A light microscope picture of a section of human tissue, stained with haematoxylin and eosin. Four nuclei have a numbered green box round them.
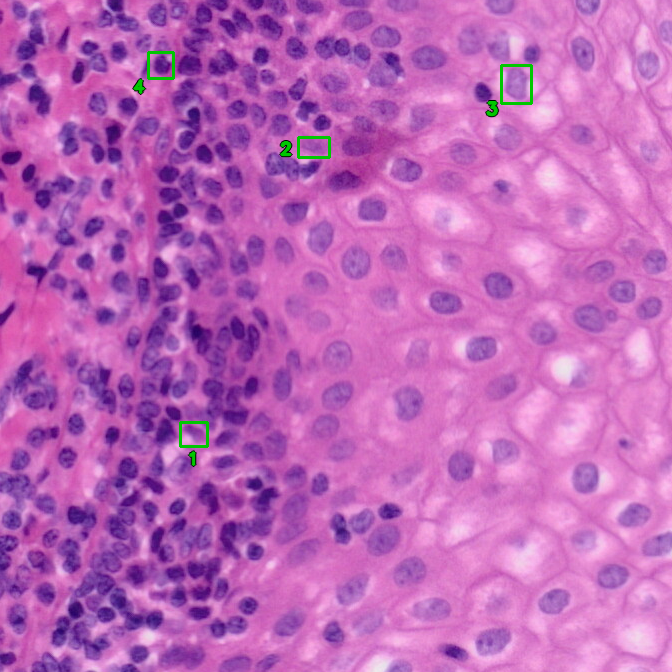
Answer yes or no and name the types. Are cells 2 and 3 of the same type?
Yes, both are squamous epithelial cells.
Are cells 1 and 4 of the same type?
No, cell 1 is a squamous epithelial cell and cell 4 is a plasma cell.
